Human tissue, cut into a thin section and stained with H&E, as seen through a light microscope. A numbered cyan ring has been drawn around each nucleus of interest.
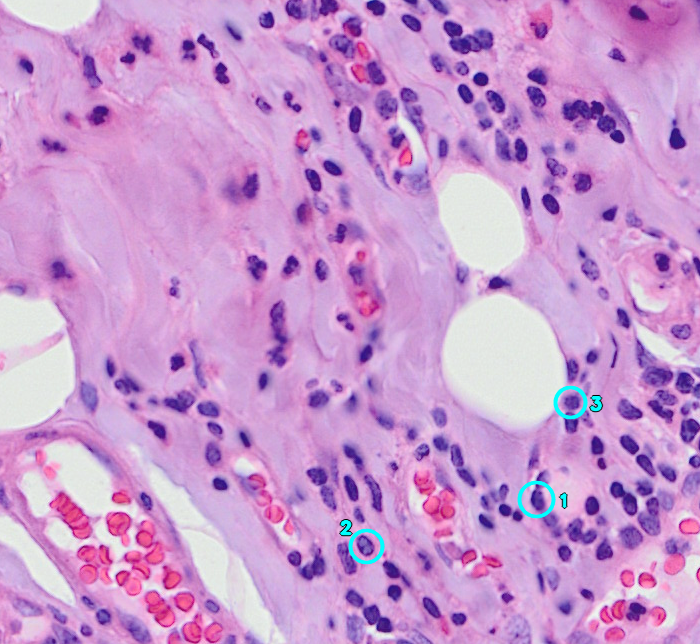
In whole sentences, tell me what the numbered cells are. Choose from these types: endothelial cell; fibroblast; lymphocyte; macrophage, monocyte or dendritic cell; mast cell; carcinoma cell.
Cells 1 and 3 are lymphocytes. Cell 2 is a mast cell.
